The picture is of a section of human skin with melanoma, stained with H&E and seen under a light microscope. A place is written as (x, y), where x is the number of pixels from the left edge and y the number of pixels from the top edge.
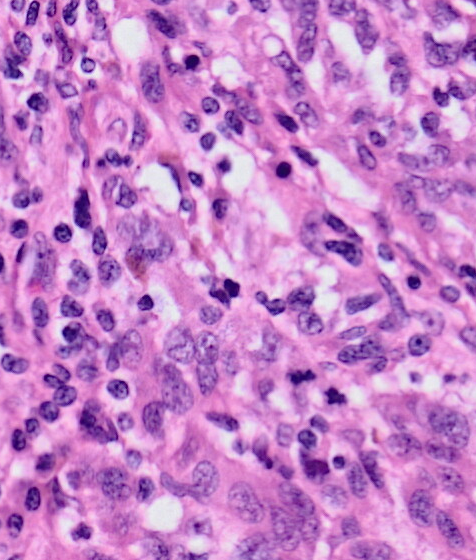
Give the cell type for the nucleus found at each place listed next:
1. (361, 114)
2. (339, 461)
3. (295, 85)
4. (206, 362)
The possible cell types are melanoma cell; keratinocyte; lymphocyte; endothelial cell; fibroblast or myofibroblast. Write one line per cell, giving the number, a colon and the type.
1: melanoma cell
2: lymphocyte
3: melanoma cell
4: melanoma cell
